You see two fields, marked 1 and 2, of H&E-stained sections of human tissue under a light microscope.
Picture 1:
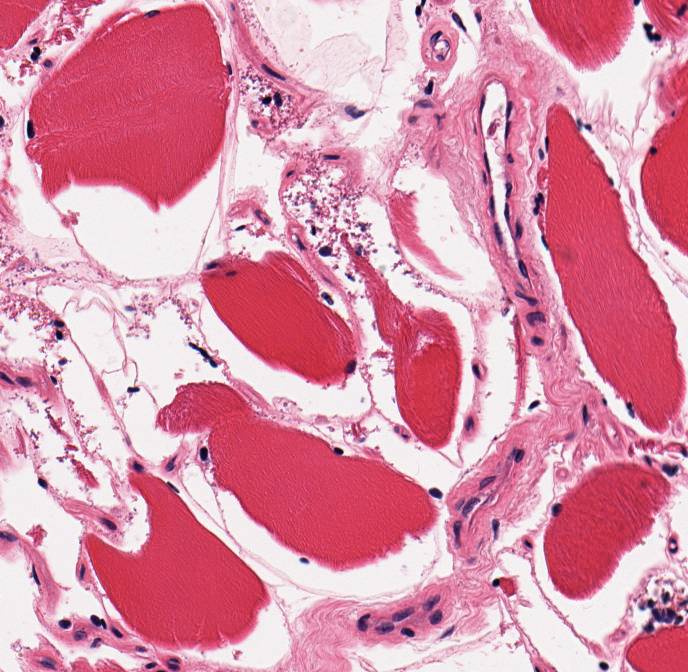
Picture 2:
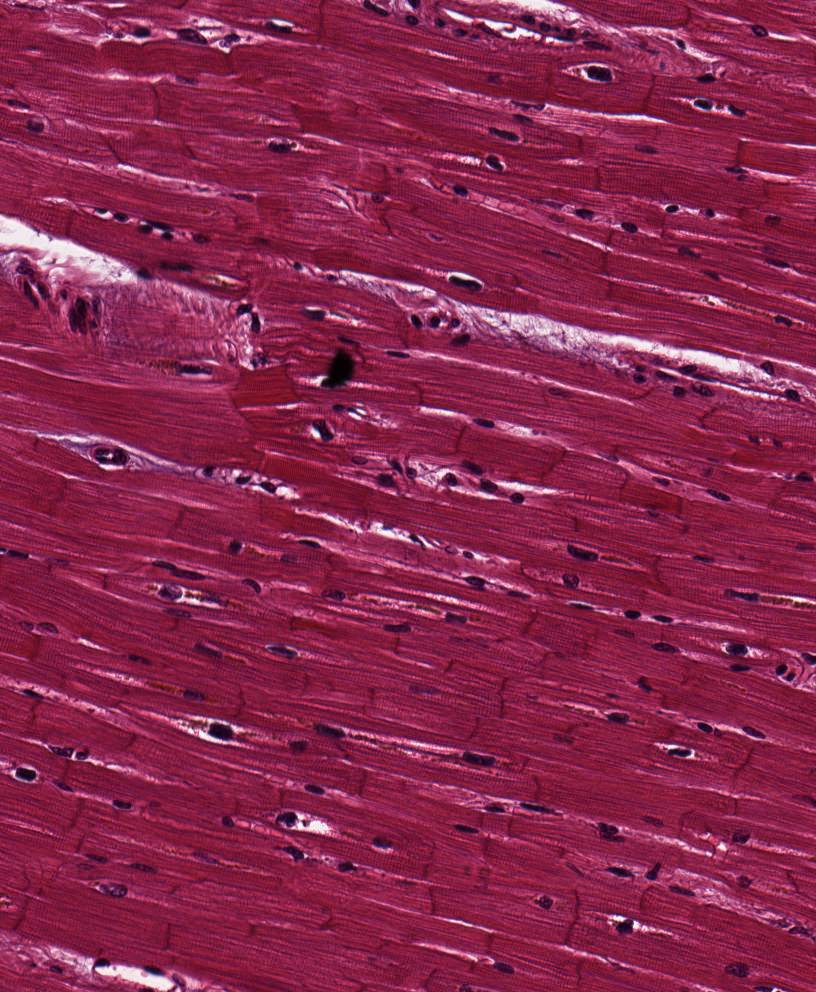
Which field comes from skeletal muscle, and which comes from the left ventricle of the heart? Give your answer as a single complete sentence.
Picture 2 comes from the left ventricle of the heart, while picture 1 comes from skeletal muscle.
